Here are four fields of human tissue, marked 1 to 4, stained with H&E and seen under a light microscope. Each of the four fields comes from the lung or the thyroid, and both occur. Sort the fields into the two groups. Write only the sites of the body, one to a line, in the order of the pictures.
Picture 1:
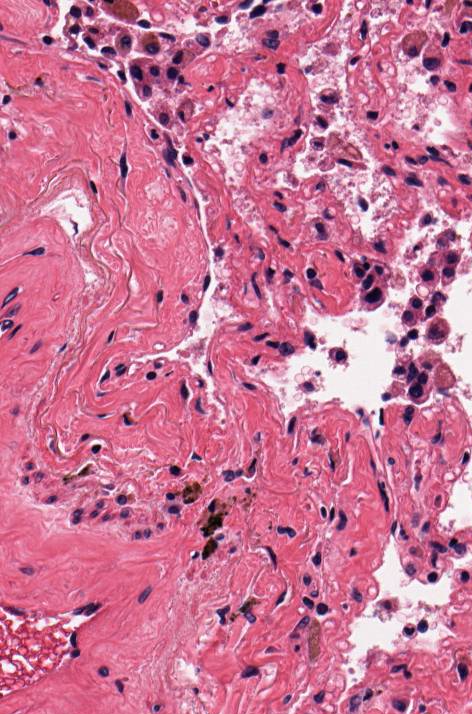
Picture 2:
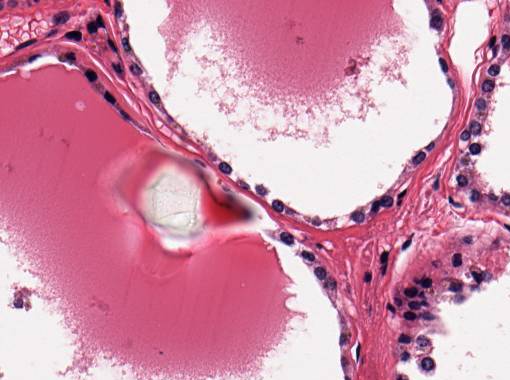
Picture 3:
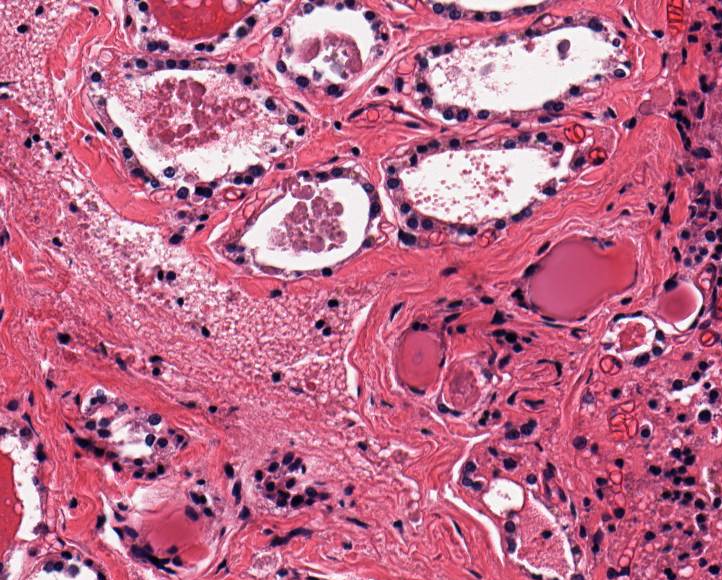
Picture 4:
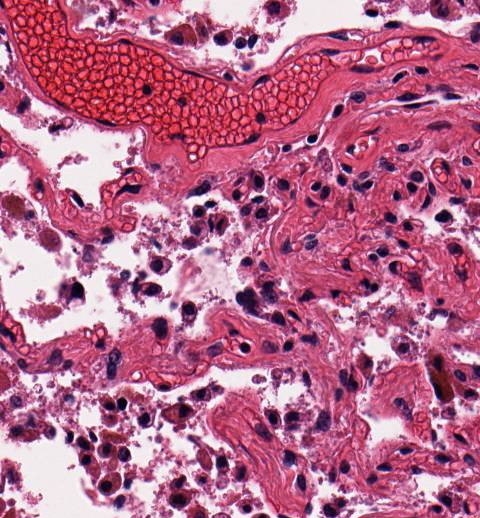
lung
thyroid
thyroid
lung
